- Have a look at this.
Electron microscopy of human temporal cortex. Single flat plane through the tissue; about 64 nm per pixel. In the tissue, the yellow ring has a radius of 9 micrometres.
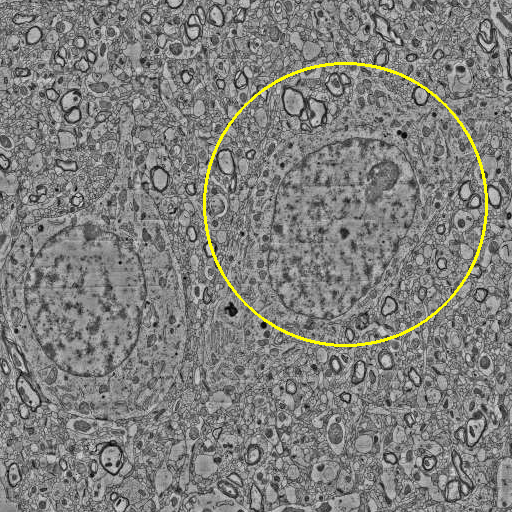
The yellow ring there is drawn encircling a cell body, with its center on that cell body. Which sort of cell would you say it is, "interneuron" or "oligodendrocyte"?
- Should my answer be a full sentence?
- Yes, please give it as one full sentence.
For this picture, an interneuron is the cell where the yellow ring has its center.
